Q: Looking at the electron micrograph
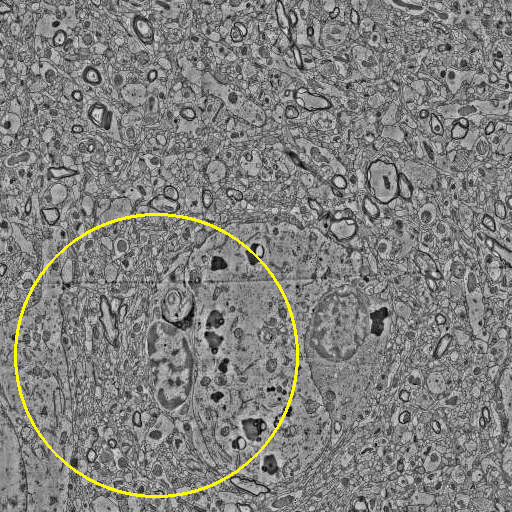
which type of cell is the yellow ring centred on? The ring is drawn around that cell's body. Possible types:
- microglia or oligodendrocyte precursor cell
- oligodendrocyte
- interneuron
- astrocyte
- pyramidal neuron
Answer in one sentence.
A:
The yellow ring is centred on a microglial cell or oligodendrocyte precursor cell.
